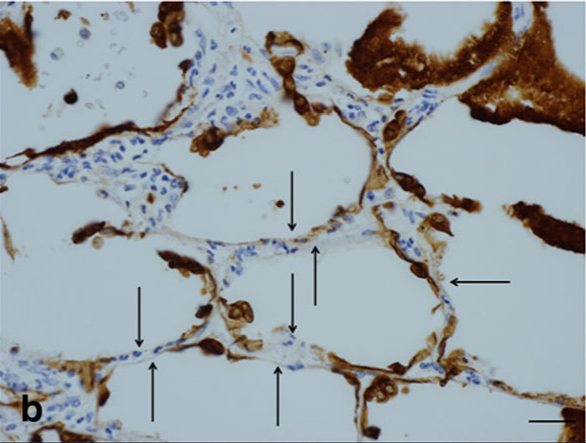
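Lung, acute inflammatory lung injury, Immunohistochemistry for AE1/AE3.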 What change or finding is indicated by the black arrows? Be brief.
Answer: Alveolar epithelial cells absent from alveoli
